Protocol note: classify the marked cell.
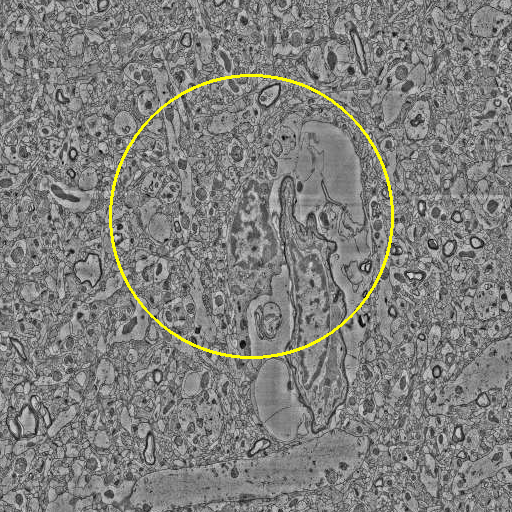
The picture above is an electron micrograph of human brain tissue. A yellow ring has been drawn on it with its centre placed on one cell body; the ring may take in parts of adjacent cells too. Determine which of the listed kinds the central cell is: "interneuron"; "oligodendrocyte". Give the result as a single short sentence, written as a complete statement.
The central cell is an oligodendrocyte.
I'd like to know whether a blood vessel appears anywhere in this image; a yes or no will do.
Yes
